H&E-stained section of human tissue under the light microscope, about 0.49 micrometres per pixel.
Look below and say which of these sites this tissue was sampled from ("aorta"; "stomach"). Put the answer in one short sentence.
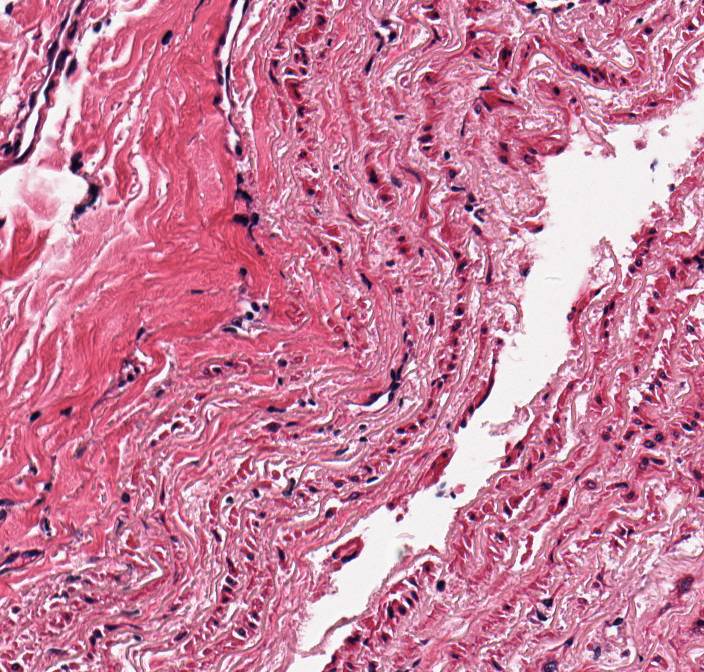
The site this tissue was sampled from is the aorta.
